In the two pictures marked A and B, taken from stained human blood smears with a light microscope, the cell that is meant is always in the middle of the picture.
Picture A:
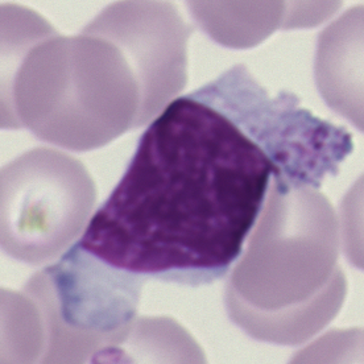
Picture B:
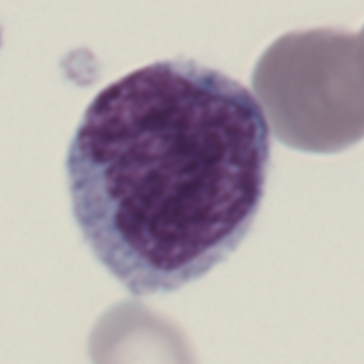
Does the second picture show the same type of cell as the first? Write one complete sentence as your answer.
No, the types are not the same, since picture A shows a large granular lymphocyte and picture B a monocyte.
